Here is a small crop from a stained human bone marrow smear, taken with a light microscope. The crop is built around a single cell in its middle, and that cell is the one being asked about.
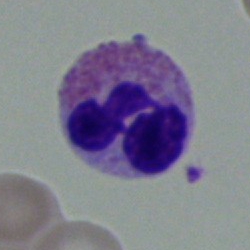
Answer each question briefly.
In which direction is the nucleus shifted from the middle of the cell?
bottom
